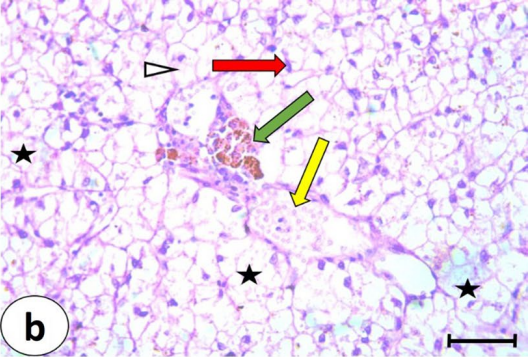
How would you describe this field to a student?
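Here the liver hepatocytes are vacuolated: their cytoplasm is clear and empty-looking, leaving only thin pink borders, and their small dense nuclei are pushed to one side. Near a congested vessel lies a cluster of cells filled with dark brown pigment, melanomacrophage cells in the portal area.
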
